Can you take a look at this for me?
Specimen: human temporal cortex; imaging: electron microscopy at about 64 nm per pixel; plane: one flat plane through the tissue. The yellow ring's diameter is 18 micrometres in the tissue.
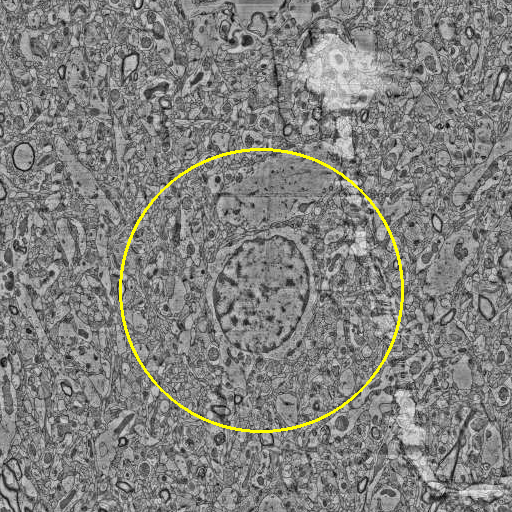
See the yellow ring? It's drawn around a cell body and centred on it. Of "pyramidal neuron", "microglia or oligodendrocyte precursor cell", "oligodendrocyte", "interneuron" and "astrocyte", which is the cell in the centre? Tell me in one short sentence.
The one in the centre is a microglial cell or oligodendrocyte precursor cell.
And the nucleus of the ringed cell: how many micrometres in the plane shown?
The nucleus comes to roughly 8 by 6 micrometres in this plane.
